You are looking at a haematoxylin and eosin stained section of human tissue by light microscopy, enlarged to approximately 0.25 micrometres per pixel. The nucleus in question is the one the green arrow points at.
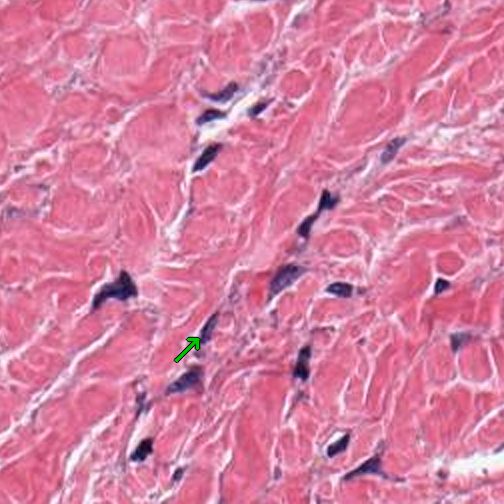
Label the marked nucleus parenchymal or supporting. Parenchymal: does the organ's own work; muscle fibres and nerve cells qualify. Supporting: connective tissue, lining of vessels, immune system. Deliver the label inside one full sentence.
The nucleus that is marked belongs to a supporting cell.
